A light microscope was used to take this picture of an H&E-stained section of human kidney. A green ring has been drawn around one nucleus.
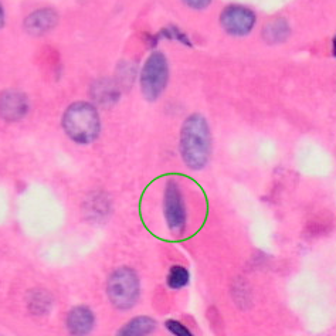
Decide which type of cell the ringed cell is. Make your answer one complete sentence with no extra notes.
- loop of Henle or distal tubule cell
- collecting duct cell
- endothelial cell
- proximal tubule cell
As a matter of cell type, the ringed cell is an endothelial cell.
